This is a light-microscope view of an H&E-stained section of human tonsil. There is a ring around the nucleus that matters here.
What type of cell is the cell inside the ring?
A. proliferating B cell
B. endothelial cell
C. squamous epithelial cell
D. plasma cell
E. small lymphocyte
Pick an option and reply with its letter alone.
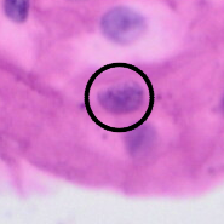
C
